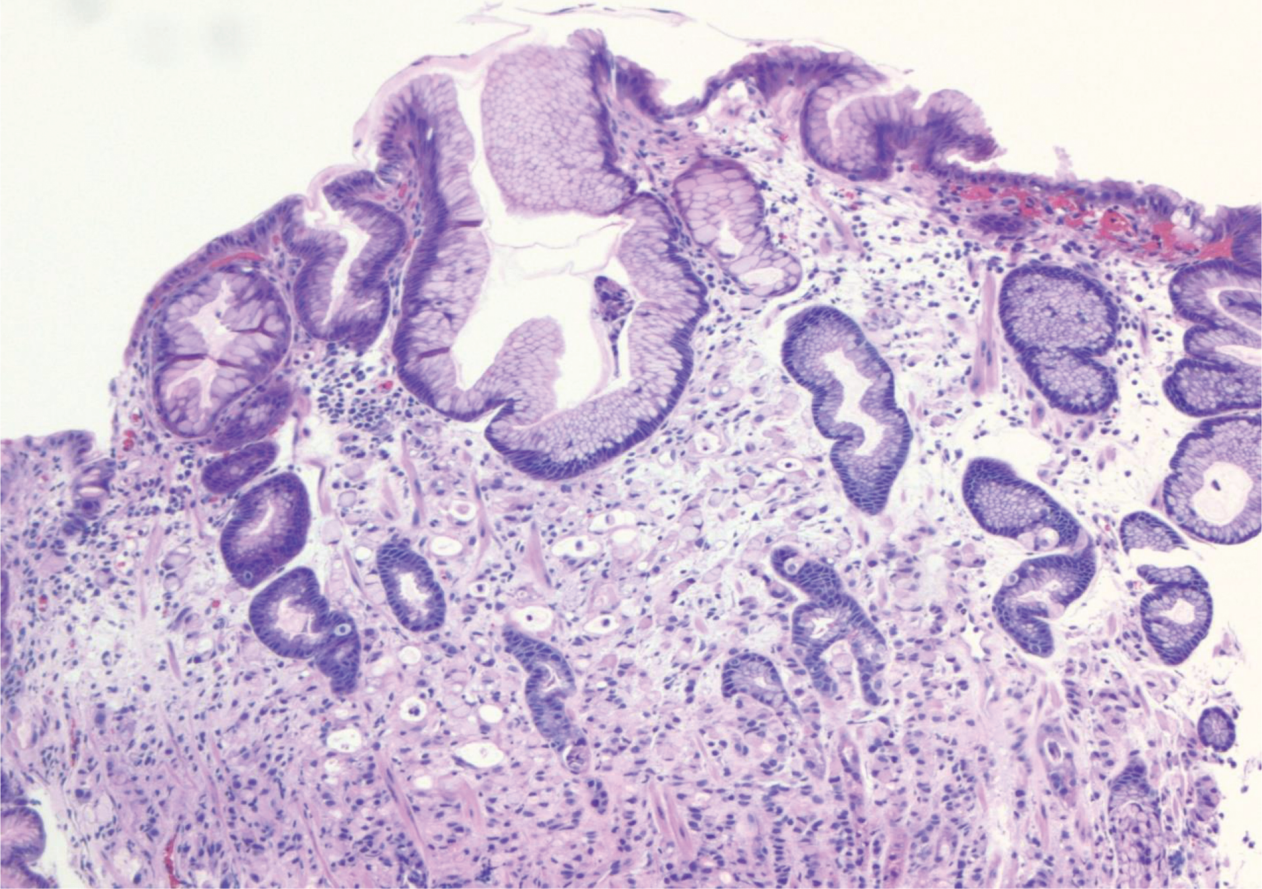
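Gastric mucosa with mucin-filled foveolar surface epithelium and scattered glands of dark-staining columnar cells. The stroma between the glands is diffusely infiltrated by single, discohesive cells with a clear to pale pink cytoplasmic vacuole and a crescent-shaped nucleus pushed to the cell edge, typical of signet ring cells. A few lymphocytes and some haemorrhage lie just beneath the surface.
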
